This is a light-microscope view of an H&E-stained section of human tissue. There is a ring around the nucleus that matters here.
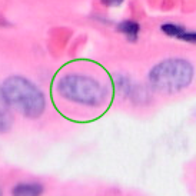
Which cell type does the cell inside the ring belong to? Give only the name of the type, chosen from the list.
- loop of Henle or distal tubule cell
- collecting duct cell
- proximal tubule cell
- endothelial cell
collecting duct cell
